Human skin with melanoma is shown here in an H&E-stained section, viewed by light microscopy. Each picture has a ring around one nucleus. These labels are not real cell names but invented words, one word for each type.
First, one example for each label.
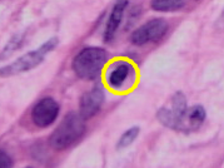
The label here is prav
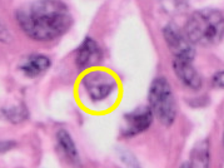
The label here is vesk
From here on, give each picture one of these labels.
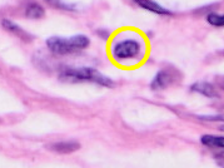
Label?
prav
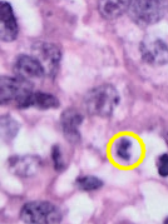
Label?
prav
